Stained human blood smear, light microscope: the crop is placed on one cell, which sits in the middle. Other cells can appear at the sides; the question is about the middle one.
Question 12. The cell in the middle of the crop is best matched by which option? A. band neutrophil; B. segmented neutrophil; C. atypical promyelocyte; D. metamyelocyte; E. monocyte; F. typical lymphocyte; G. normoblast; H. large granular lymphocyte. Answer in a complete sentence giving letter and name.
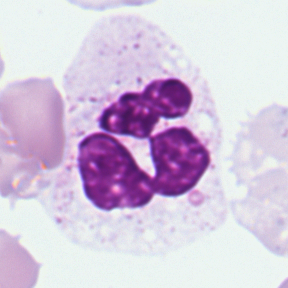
Option B is right in identifying the central cell as a segmented neutrophil.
